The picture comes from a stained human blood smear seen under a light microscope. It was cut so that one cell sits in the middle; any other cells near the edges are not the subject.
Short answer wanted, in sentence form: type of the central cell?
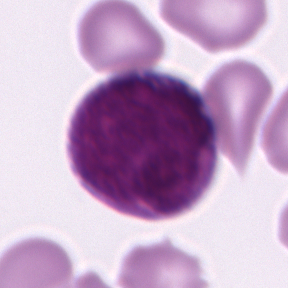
The cell centered in this field of view is a myeloblast.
